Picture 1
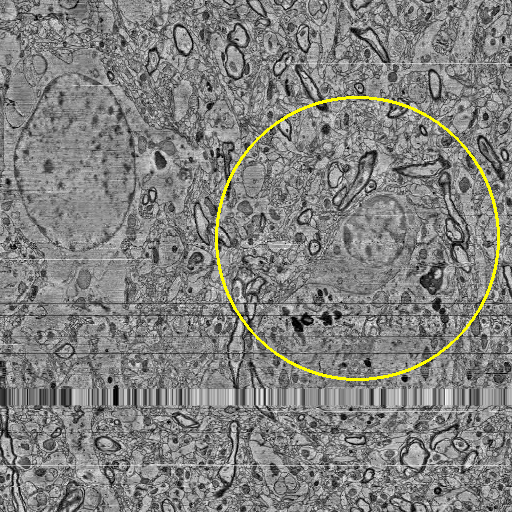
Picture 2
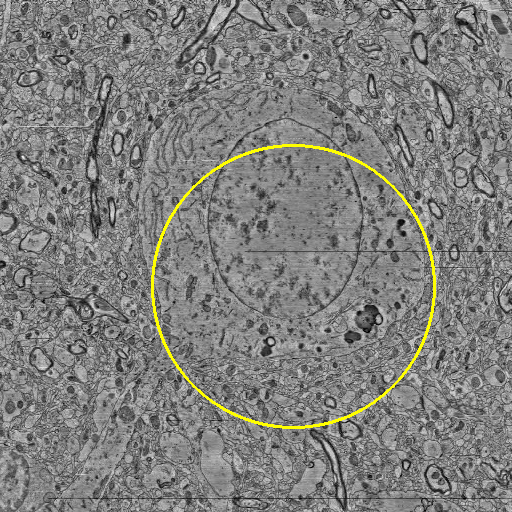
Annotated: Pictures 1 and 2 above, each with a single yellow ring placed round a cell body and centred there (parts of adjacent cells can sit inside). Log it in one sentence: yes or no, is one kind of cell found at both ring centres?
No, the ring centres of the two pictures hold cells of two kinds.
